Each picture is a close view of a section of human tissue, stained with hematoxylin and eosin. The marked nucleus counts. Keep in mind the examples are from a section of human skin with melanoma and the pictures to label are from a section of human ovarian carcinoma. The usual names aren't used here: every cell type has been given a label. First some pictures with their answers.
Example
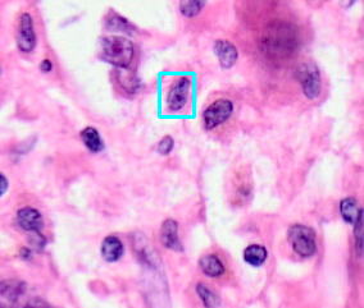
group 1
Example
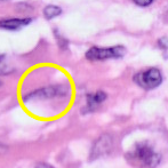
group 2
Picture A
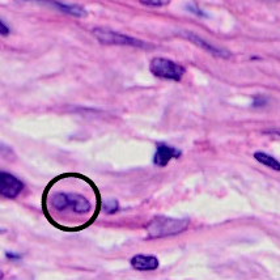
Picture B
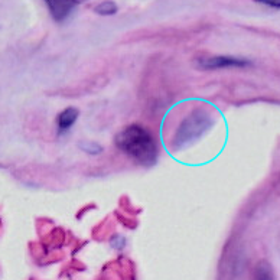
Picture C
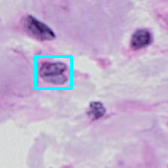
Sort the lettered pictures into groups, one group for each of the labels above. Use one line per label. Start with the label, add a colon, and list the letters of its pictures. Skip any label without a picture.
group 1: A, C
group 2: B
